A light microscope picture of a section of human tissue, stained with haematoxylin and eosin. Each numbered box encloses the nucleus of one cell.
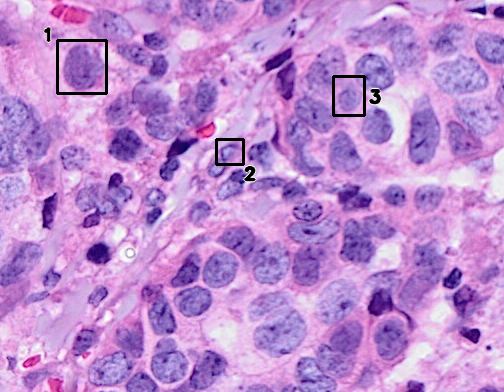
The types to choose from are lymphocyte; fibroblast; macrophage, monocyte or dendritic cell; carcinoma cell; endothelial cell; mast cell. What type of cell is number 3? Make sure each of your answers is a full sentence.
The cell pointed out by number 3 is a carcinoma cell.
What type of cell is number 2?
The cell carrying label 2 is identified as an endothelial cell.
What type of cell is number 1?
The nucleus marked 1 is the nucleus of a carcinoma cell.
